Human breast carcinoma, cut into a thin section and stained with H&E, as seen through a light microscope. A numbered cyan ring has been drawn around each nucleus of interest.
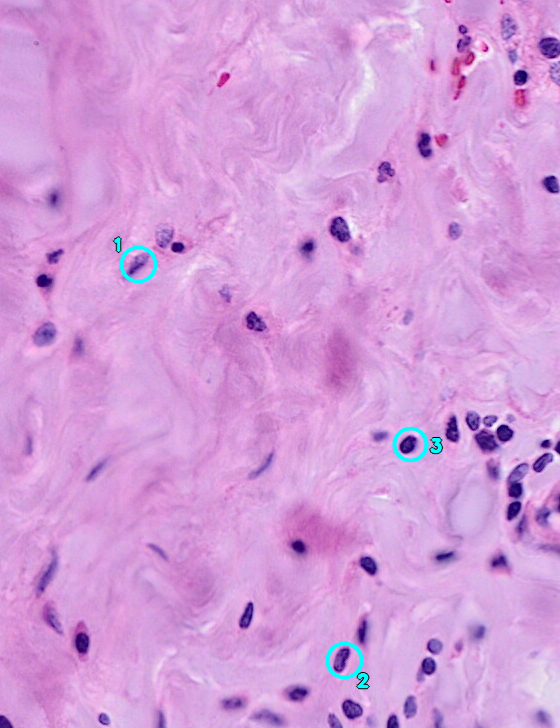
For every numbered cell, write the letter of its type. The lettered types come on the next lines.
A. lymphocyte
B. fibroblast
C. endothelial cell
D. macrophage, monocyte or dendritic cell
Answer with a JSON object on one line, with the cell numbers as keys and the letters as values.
{"1": "B", "2": "A", "3": "A"}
